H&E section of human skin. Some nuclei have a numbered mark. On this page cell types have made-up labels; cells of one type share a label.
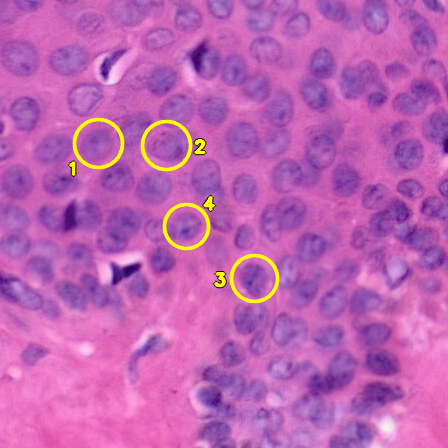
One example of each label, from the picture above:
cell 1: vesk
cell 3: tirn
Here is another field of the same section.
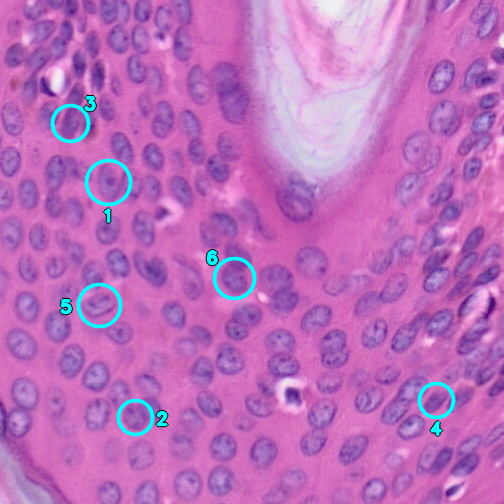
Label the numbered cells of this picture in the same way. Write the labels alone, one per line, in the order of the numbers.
vesk
vesk
tirn
tirn
vesk
vesk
